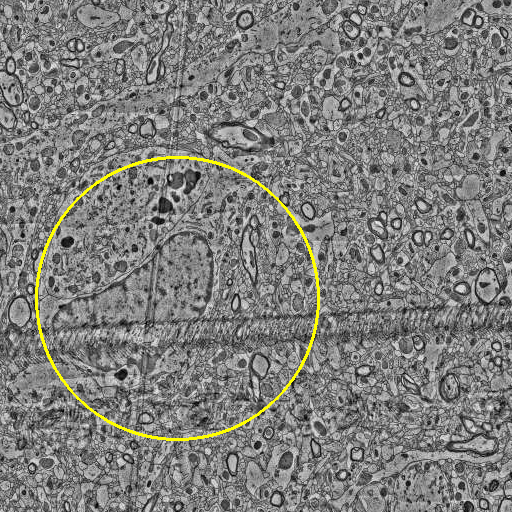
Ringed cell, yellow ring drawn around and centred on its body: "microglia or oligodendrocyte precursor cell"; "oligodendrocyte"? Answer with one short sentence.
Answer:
This ringed cell is a microglial cell or oligodendrocyte precursor cell.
